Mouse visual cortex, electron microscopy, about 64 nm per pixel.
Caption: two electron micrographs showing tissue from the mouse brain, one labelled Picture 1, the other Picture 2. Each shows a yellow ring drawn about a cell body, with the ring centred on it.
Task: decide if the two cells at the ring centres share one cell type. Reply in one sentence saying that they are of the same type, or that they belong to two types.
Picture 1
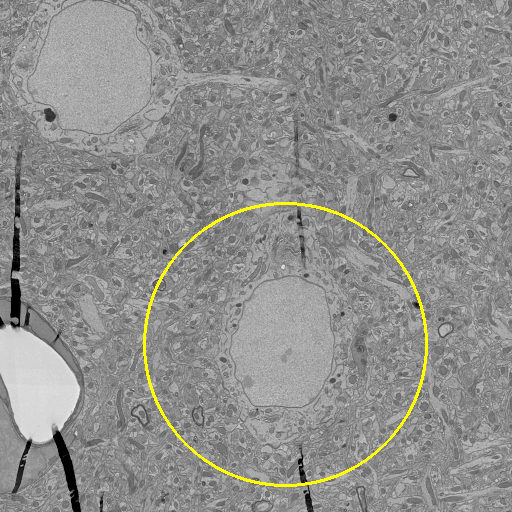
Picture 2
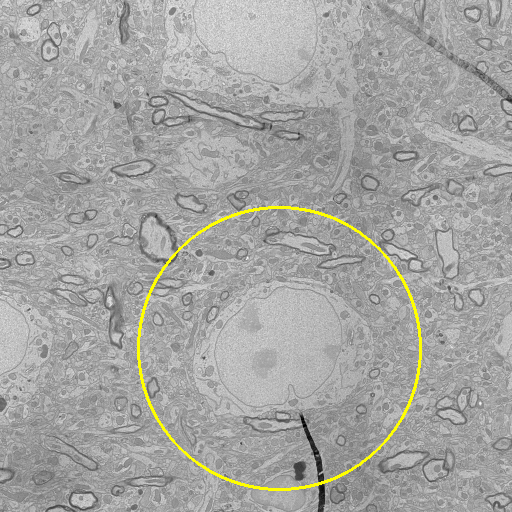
The cells at the ring centres in Picture 1 and Picture 2 are of the same type.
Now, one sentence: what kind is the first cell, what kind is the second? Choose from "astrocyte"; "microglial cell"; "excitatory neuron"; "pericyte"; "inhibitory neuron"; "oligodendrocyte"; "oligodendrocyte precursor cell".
In each of the two pictures, the ringed cell is an excitatory neuron.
